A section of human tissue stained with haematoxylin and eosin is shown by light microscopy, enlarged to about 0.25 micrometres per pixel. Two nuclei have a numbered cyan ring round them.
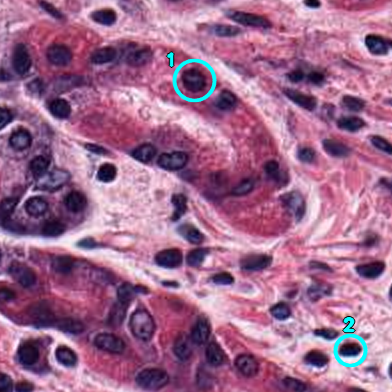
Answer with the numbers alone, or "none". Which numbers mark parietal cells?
1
